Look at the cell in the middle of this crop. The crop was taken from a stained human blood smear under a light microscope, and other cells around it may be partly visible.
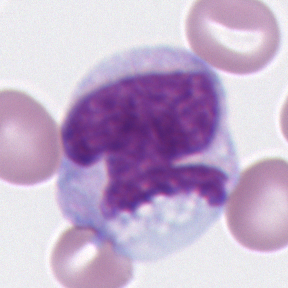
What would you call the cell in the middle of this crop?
monocyte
